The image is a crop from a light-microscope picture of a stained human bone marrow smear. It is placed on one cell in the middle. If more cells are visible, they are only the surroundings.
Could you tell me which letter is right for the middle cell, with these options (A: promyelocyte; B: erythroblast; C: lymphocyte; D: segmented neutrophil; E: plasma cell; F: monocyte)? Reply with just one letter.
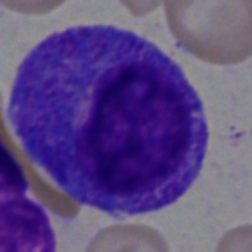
A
